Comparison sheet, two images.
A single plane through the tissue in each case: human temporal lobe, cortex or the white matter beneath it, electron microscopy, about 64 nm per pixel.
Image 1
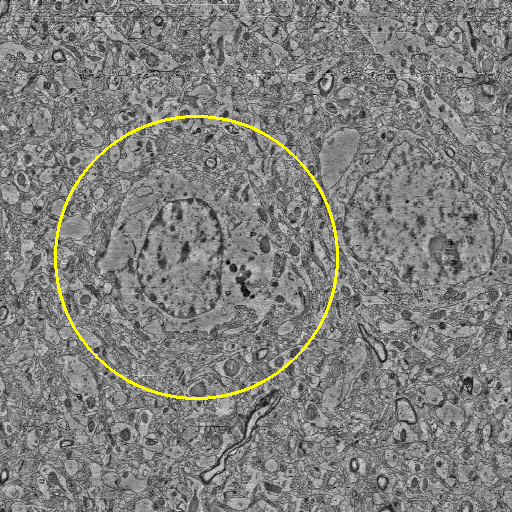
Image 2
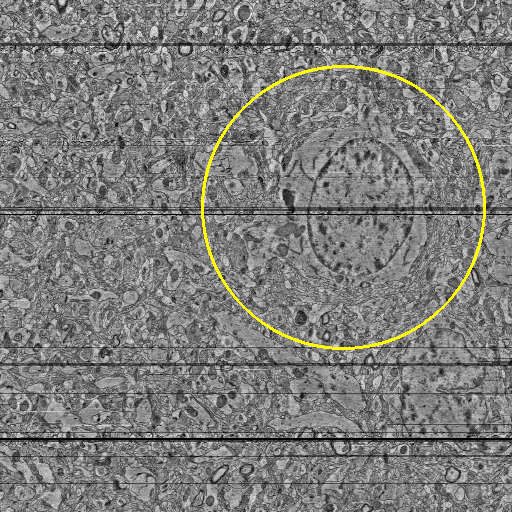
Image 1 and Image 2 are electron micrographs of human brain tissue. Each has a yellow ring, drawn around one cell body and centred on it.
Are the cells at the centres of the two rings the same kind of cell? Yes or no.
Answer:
yes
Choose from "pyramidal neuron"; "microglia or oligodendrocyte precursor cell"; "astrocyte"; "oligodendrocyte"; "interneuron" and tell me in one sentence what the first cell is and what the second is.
Each of the ringed cells, first and second, is an astrocyte.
